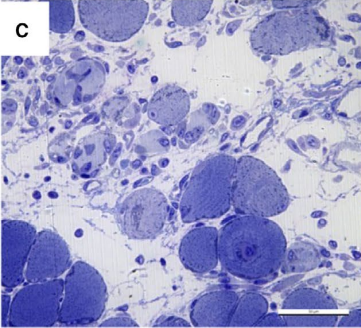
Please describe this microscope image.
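Cross-sectioned skeletal muscle shows intact and damaged fibres separated by widened interstitial spaces containing infiltrating cells. The wide pale spaces between fibres contain many small round and elongated nucleated cells. The overall arrangement of fibres is disrupted, with groups of fibres separated by empty-looking space.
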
